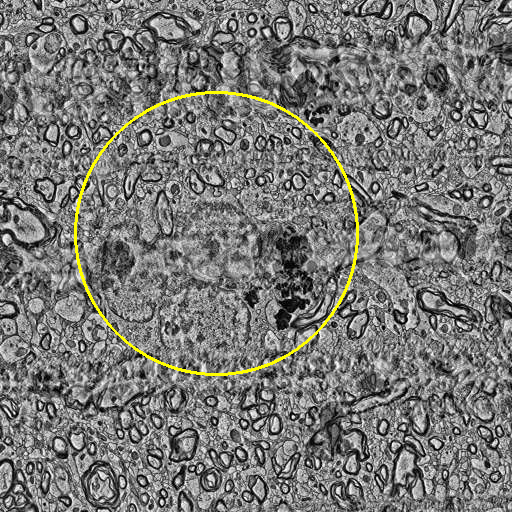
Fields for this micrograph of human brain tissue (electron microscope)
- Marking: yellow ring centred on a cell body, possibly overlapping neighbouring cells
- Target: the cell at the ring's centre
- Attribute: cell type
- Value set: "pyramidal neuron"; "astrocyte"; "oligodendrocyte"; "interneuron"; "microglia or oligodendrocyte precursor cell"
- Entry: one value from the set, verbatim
oligodendrocyte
